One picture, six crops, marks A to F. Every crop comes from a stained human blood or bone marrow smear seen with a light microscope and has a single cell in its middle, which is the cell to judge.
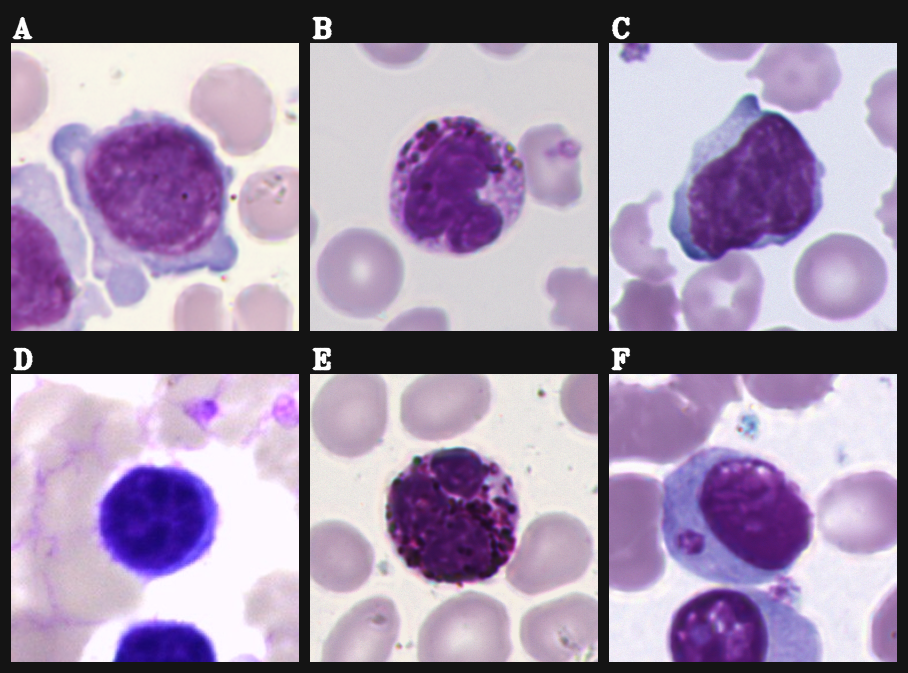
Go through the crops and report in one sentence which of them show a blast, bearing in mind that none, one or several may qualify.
No crop, from the first to the last, shows a blast.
